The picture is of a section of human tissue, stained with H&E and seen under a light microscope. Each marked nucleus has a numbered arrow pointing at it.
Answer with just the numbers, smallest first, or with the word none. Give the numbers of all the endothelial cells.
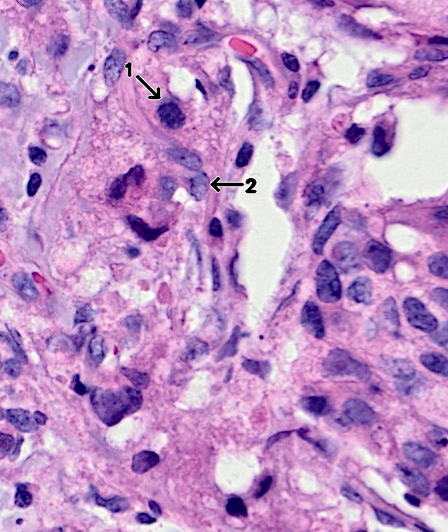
2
